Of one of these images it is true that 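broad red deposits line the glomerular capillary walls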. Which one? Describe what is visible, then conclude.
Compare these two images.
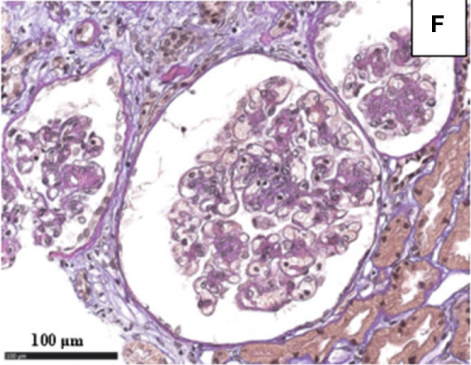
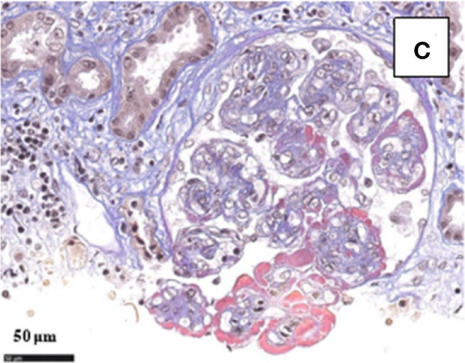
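The second image. First image: the tuft is purple without broad red bands along the capillary loops. Second image: bright pink-red bands outline many capillary loops in the lower tuft.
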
